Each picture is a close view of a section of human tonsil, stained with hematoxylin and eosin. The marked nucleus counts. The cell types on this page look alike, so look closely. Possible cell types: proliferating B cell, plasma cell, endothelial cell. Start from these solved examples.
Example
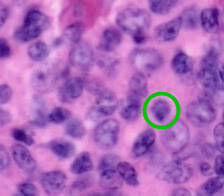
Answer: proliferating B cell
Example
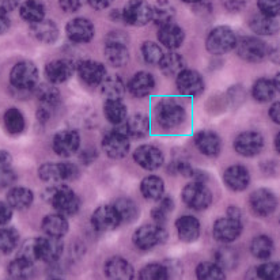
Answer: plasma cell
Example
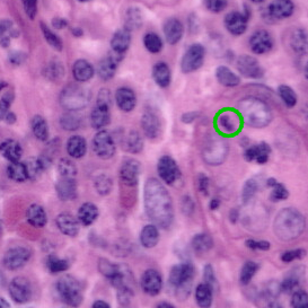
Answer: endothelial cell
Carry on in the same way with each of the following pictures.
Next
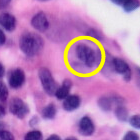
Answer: endothelial cell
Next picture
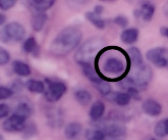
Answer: endothelial cell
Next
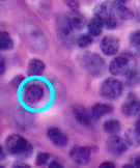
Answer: endothelial cell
